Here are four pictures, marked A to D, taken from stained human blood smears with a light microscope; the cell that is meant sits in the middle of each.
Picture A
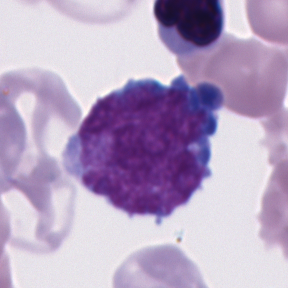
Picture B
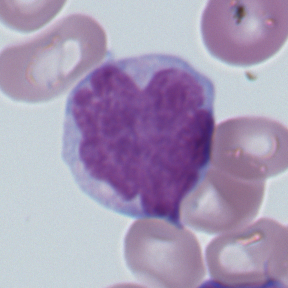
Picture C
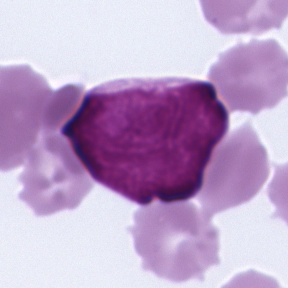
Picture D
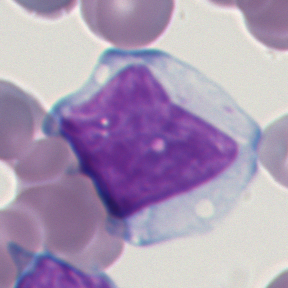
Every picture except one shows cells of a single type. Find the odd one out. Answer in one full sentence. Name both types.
All pictures except B show myeloblasts; picture B shows an atypical promyelocyte.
